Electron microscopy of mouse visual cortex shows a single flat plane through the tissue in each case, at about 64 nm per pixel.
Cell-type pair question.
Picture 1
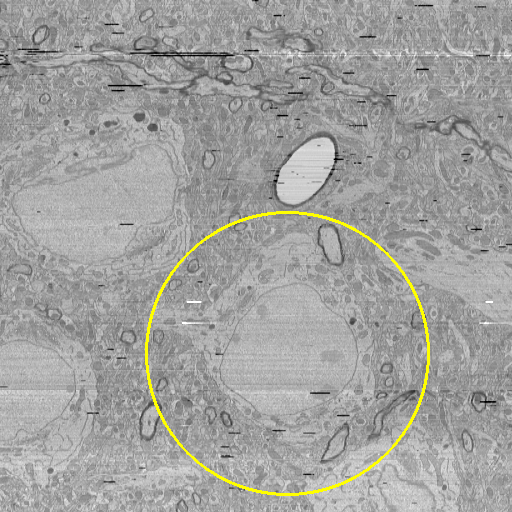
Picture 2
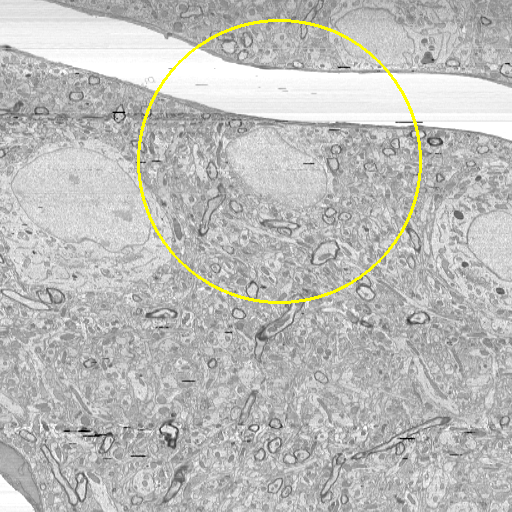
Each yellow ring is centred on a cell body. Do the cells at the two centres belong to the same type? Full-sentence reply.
No, the two cells belong to two types.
